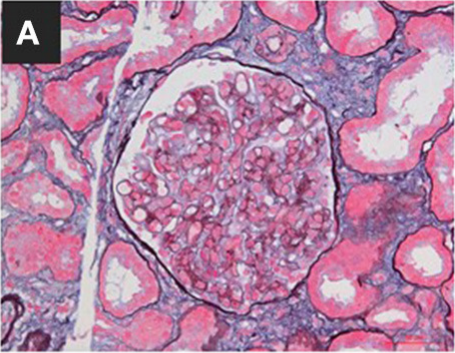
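A glomerulus fills the centre, its capillary tuft a crowded lobulated mass of loops with black-outlined basement membranes and many nuclei, surrounded by a thin capsule and a clear urinary space. Around it lie cross-sections of tubules whose epithelium stains red, set in a bluish-grey interstitium.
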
